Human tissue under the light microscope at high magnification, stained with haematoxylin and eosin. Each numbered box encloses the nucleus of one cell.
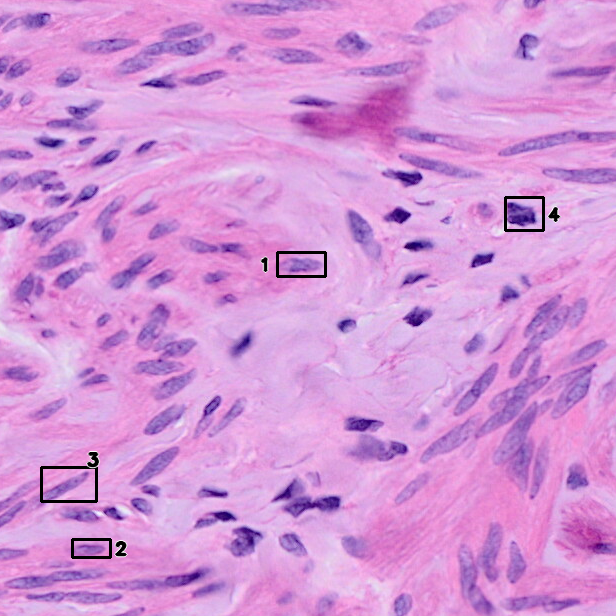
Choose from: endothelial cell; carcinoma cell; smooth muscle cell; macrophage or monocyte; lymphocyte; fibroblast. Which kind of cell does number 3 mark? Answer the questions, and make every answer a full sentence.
Among the marked cells, number 3 is a smooth muscle cell.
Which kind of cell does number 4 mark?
That cell with number 4 is a fibroblast.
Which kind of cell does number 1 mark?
Cell number 1 in this section is a smooth muscle cell.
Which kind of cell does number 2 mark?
Corresponding to a smooth muscle cell is the cell labelled 2.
